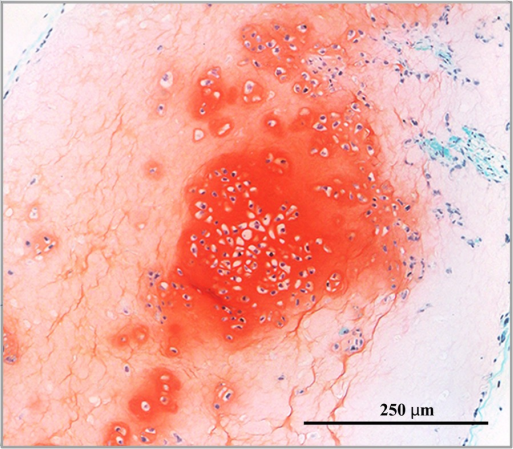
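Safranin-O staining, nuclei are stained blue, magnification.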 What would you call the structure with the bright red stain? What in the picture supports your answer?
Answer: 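The red stain fills the space between the cells, not the cells themselves. The red is strongest around the clustered rounded cells and fades outward. So: extracellular matrix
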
